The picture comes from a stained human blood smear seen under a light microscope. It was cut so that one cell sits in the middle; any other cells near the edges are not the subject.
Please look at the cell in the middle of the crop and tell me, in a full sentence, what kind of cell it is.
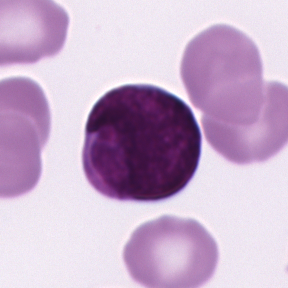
The cell at the heart of this crop is a myeloblast.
